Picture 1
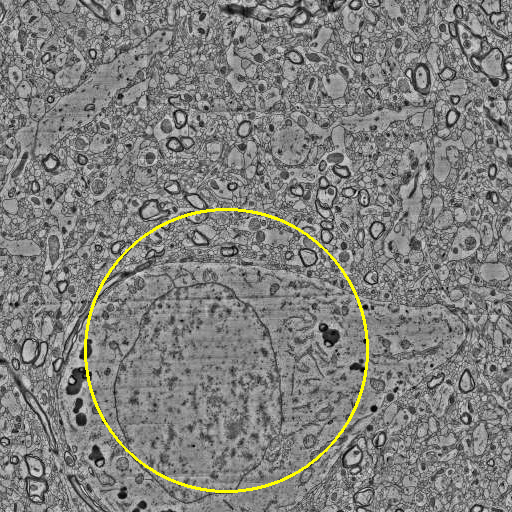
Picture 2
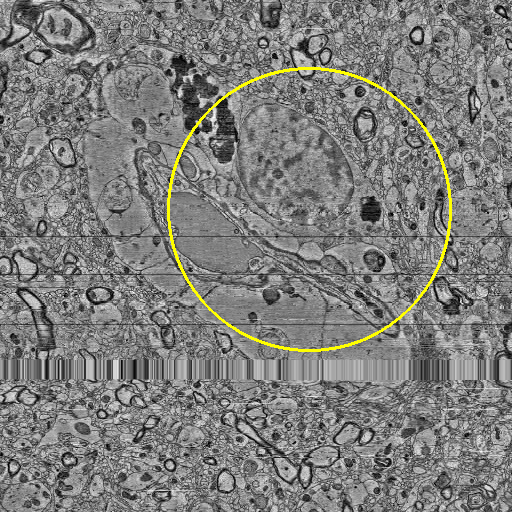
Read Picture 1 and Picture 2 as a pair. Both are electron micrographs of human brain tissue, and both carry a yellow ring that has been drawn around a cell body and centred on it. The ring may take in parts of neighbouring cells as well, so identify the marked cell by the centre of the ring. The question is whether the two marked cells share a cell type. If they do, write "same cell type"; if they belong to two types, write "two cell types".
two cell types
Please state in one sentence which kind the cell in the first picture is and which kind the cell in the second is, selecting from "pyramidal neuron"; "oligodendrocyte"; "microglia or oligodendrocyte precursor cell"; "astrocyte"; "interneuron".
The first ringed cell is a pyramidal neuron, the second ringed cell an oligodendrocyte.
